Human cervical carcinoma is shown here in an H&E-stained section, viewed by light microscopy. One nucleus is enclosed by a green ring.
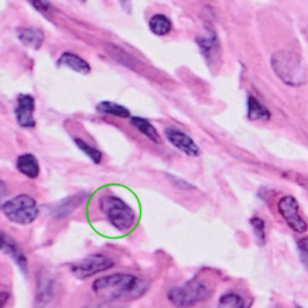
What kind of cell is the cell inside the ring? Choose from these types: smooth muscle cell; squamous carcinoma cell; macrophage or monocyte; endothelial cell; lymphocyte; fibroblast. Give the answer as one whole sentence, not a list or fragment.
The category to which the cell inside the ring belongs is that of a macrophage or monocyte.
